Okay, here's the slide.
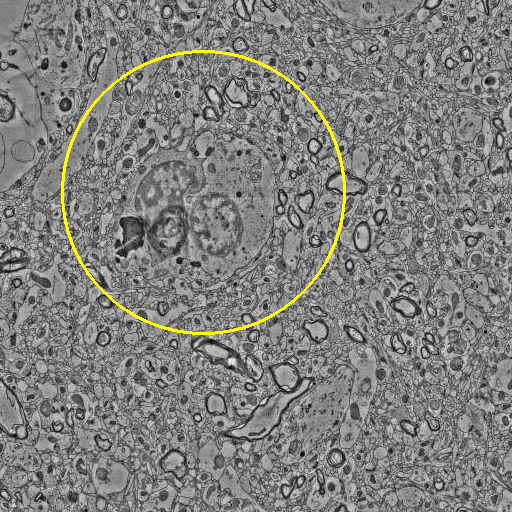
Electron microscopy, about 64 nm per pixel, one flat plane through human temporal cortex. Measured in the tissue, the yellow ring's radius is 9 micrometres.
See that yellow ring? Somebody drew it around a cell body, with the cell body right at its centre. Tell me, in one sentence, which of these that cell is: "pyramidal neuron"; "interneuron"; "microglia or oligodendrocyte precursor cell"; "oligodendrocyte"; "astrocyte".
The cell in the middle of the ring is an interneuron.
